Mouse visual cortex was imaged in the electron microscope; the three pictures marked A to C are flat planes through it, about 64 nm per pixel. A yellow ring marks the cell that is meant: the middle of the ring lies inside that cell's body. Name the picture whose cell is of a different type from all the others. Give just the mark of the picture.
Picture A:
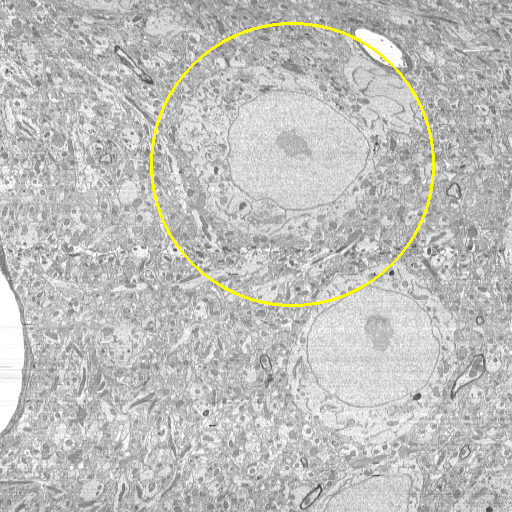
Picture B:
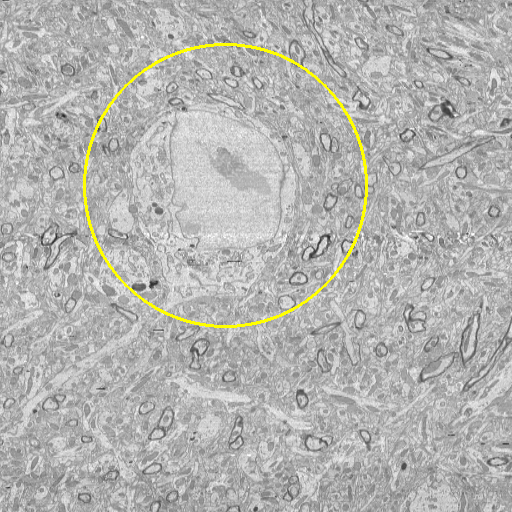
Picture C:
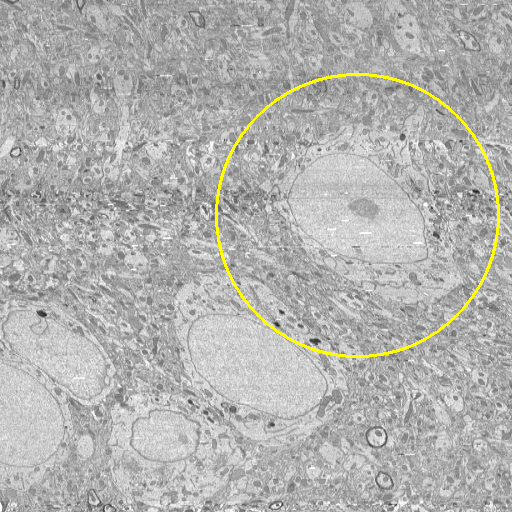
B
